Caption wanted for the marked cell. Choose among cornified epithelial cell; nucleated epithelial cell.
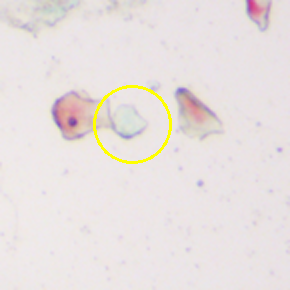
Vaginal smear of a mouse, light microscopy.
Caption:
Ringed in yellow is a cornified epithelial cell.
